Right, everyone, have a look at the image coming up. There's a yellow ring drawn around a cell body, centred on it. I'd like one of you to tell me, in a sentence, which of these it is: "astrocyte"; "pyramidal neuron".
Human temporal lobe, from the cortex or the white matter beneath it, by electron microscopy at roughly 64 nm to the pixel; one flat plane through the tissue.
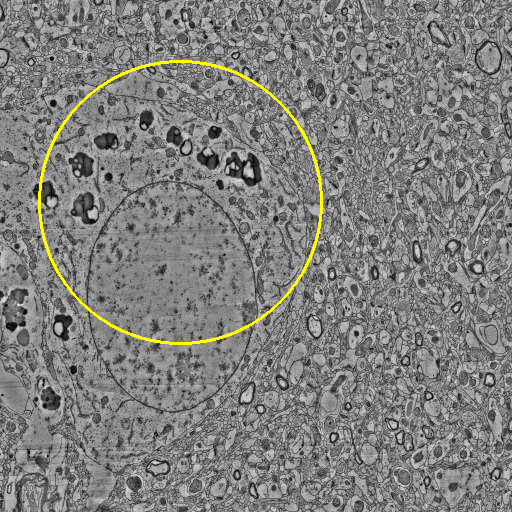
The yellow ring sits on a pyramidal neuron.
